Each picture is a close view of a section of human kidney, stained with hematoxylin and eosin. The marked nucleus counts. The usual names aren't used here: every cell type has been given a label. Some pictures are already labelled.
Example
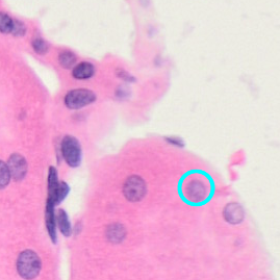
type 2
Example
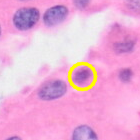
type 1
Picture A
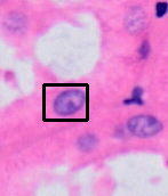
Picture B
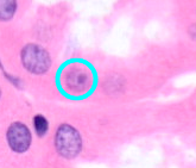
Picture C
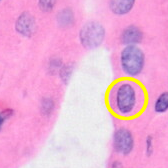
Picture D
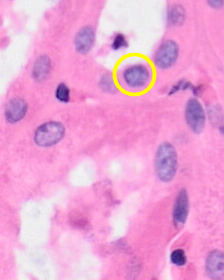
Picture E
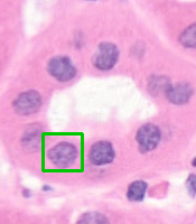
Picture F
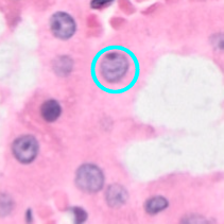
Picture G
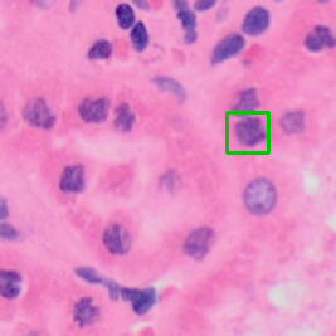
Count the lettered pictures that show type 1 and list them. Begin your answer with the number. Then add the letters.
3: C, D, E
